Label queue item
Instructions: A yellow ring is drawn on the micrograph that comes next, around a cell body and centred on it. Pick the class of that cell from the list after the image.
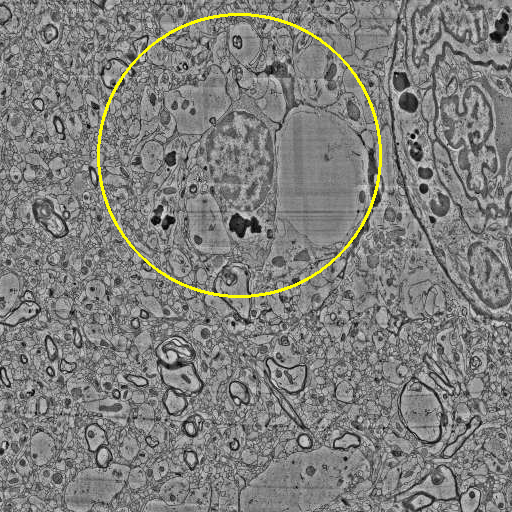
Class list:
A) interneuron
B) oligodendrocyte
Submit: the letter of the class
B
